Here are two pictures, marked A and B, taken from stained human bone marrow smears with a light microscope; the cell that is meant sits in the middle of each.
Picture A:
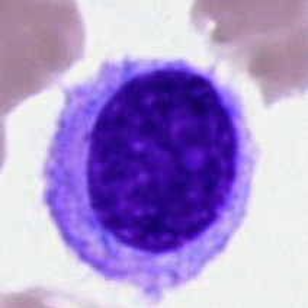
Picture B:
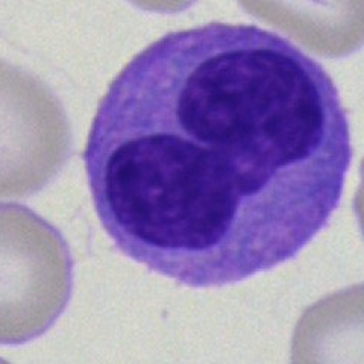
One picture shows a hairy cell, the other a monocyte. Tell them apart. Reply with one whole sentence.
Picture A shows a hairy cell and picture B shows a monocyte.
